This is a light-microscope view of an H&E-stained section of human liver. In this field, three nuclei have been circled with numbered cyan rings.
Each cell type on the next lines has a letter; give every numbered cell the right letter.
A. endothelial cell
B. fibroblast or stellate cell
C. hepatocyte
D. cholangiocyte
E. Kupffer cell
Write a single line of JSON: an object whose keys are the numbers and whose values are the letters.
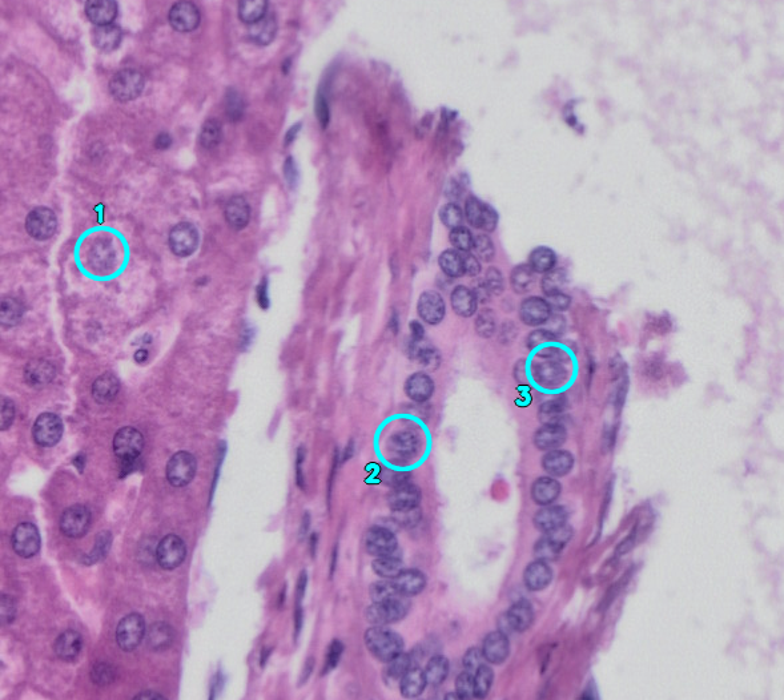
{"1": "C", "2": "D", "3": "D"}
